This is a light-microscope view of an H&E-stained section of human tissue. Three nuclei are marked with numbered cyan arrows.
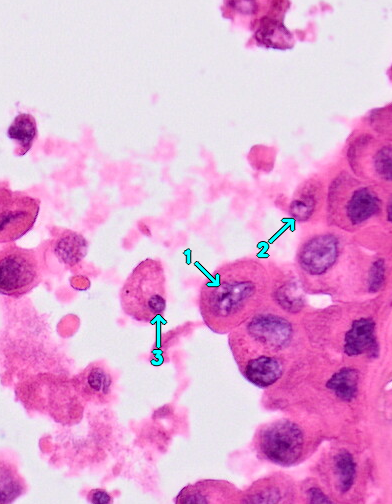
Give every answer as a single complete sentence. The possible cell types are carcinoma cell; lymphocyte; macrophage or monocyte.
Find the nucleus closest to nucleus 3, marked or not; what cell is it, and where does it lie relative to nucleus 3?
The closest nucleus belongs to a carcinoma cell and sits to the right of nucleus 3.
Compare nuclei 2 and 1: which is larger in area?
Nucleus 1 covers more area, about 2.5 times as much as nucleus 2.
